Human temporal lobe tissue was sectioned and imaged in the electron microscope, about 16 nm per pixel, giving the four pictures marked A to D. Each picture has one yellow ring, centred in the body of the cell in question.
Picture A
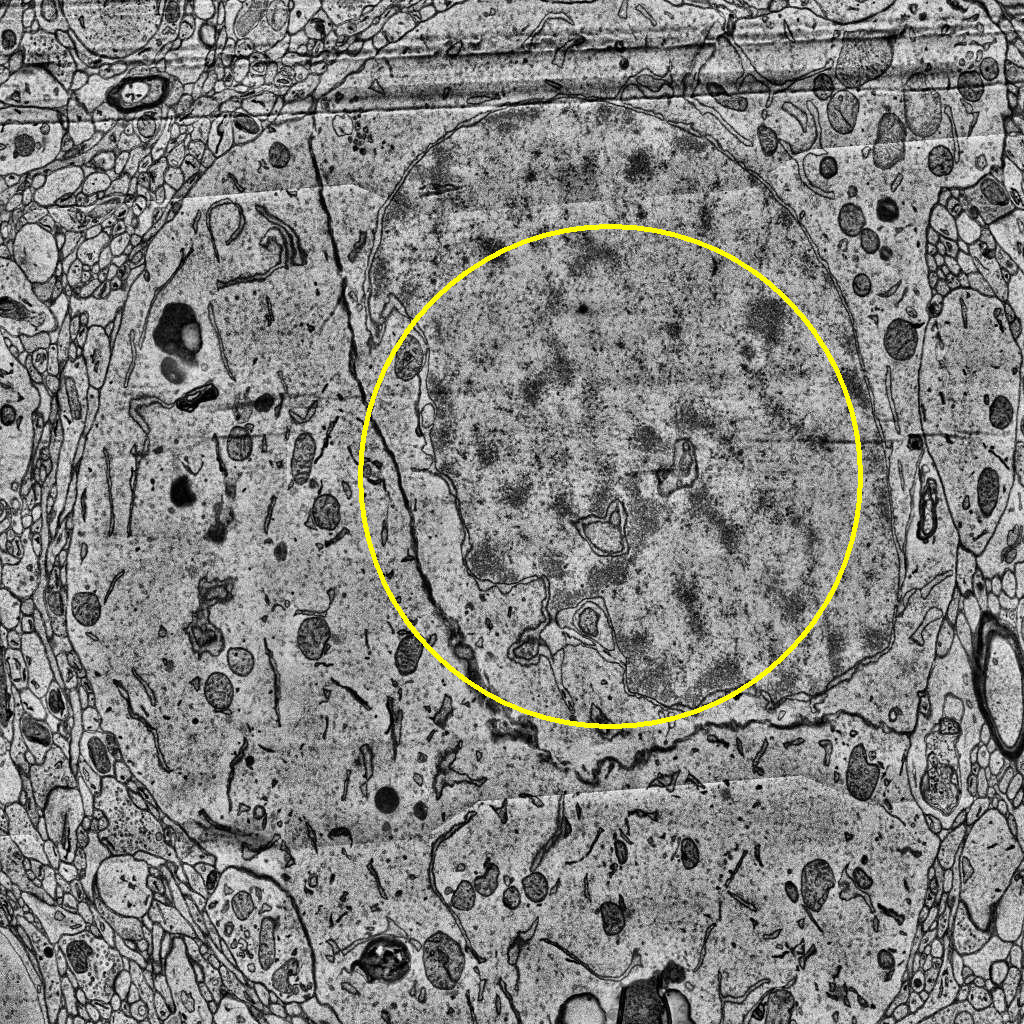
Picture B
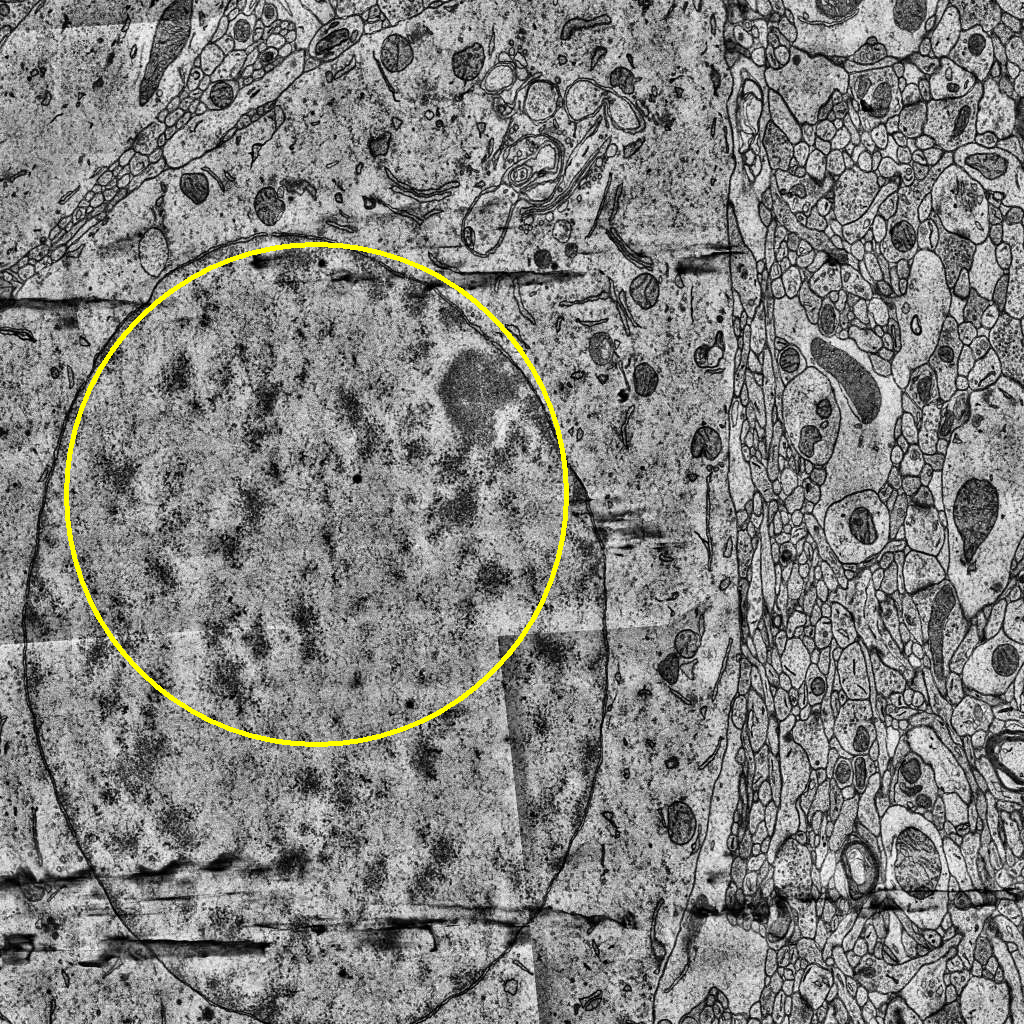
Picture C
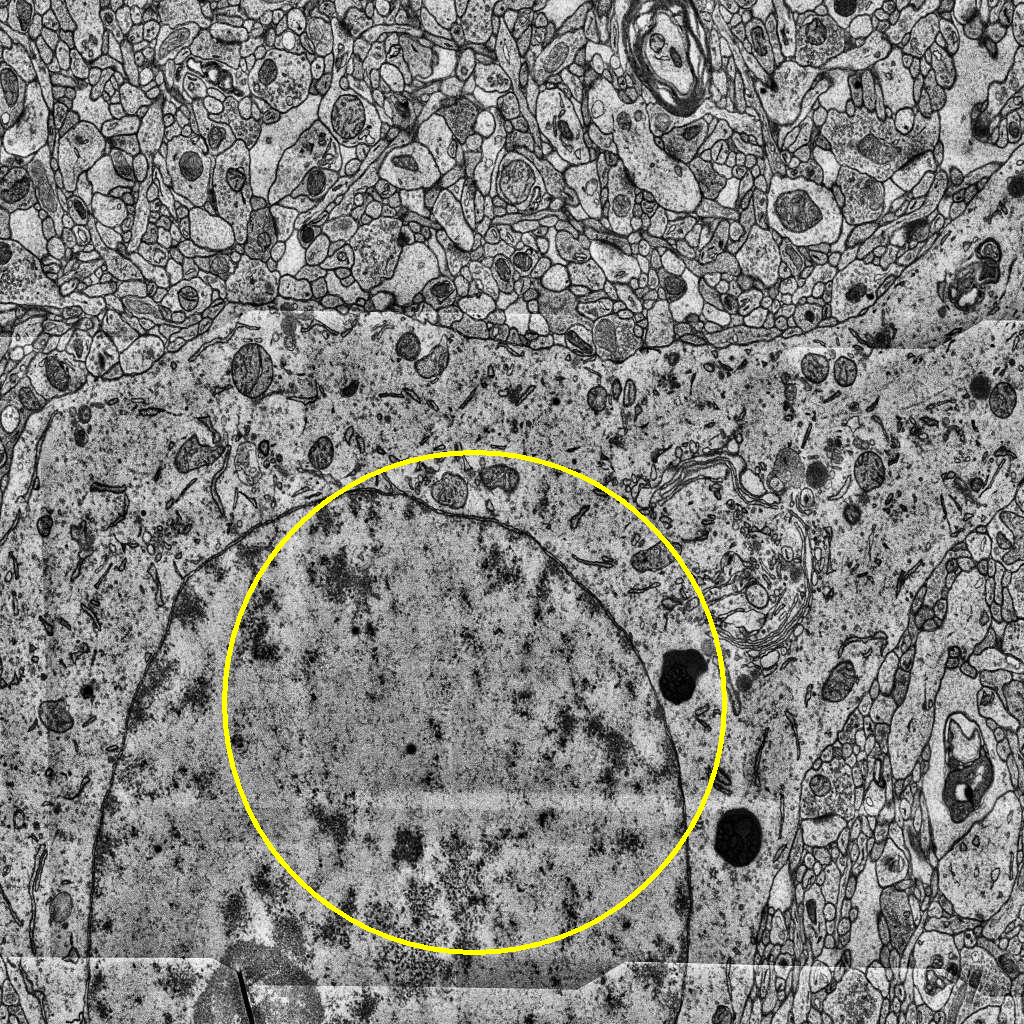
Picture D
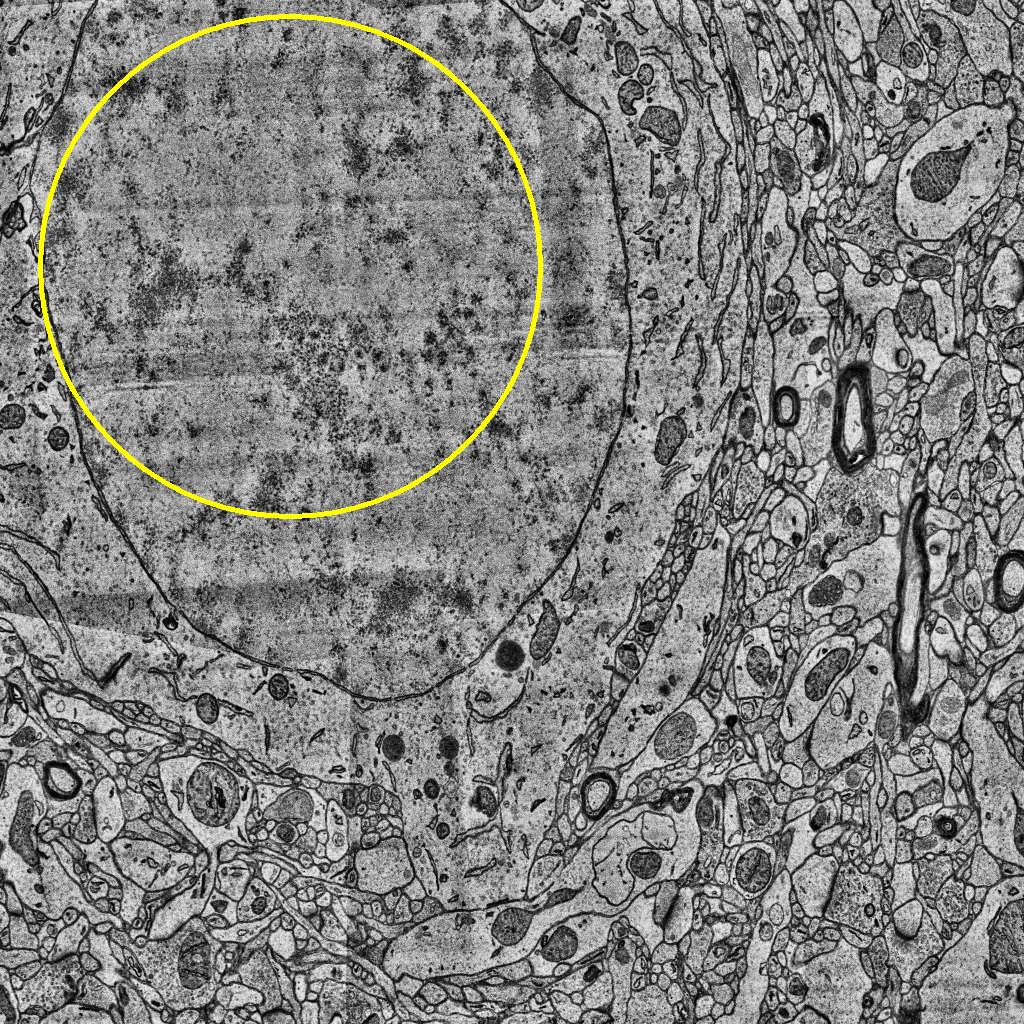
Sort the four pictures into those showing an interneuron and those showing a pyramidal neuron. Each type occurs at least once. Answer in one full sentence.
Picture A shows an interneuron; pictures B, C and D show pyramidal neurons.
